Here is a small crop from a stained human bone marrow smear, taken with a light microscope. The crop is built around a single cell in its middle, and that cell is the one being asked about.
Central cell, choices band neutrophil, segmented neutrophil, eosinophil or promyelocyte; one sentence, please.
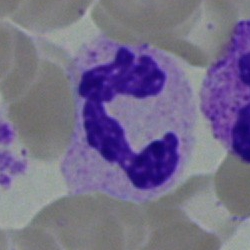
In the middle of this smear crop, the cell is a segmented neutrophil.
